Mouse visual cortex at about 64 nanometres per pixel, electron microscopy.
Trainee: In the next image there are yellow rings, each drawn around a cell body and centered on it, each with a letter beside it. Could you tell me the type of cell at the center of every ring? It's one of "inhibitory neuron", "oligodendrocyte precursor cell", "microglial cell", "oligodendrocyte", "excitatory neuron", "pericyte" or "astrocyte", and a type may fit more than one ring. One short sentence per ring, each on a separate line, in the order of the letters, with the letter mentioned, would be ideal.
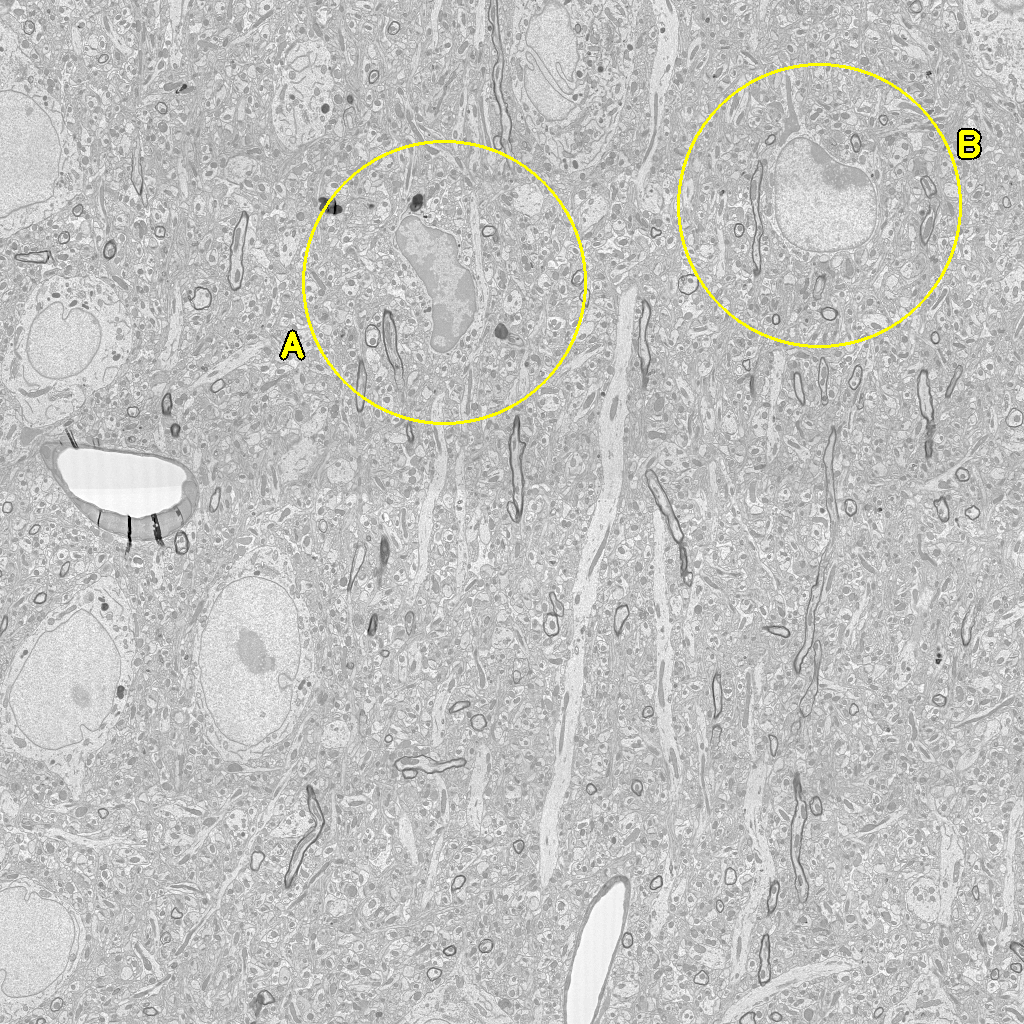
What ring A is centered on is a microglial cell.
What ring B is centered on is an astrocyte.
